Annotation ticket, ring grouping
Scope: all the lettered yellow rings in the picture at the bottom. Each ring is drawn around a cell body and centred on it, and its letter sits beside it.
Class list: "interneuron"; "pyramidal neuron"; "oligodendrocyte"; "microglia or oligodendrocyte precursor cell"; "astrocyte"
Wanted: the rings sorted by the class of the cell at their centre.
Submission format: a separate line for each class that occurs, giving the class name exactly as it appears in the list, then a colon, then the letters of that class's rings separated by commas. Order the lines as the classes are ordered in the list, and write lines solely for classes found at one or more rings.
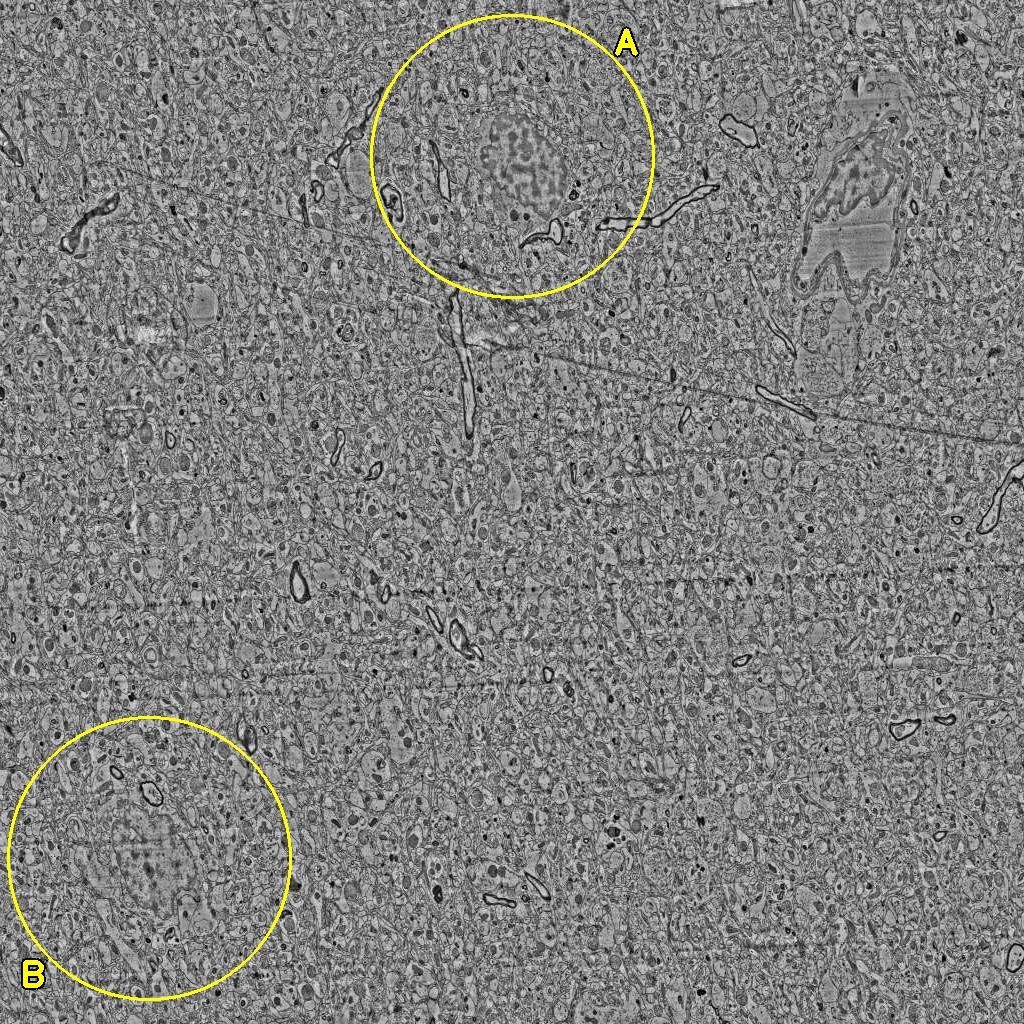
interneuron: B
oligodendrocyte: A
